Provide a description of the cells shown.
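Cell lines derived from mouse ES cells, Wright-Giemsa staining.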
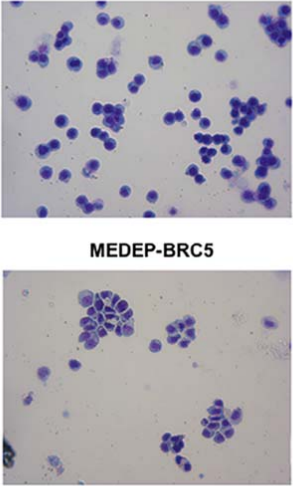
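The cells are small and round, each with a large, round, darkly staining purple nucleus and a thin rim of blue cytoplasm. In the upper preparation the cells lie mostly singly or in loose small groups, scattered across a pale background. In the lower preparation many cells are packed into tight clusters, where they press against one another and their outlines look more angular.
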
